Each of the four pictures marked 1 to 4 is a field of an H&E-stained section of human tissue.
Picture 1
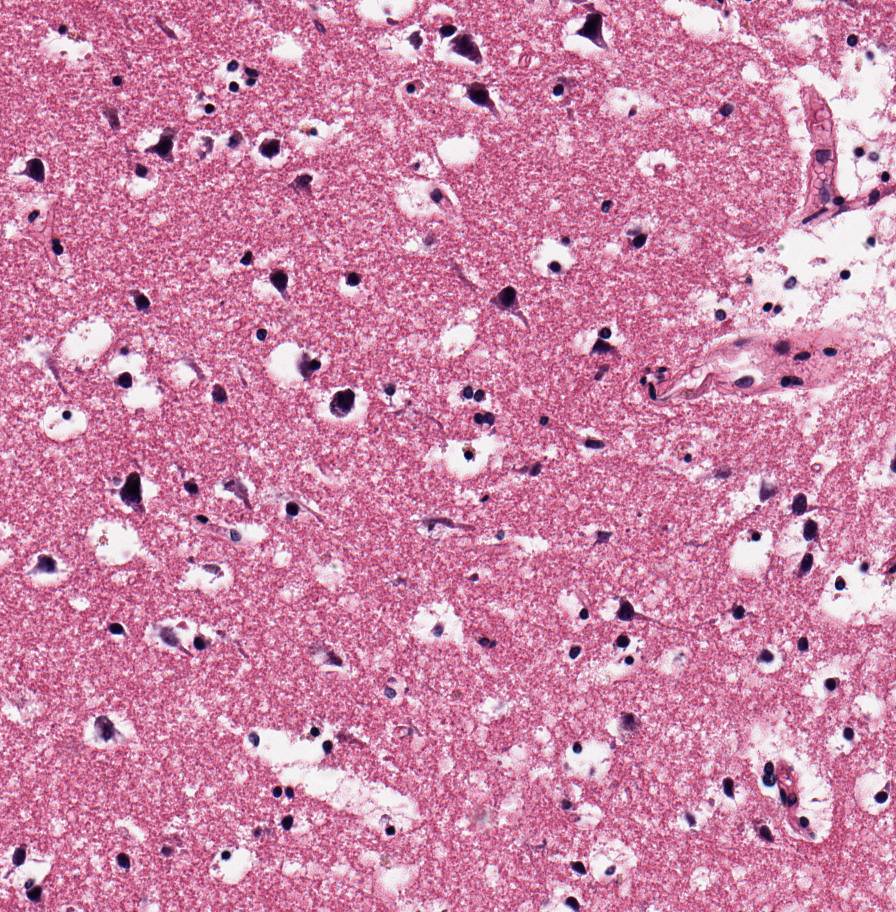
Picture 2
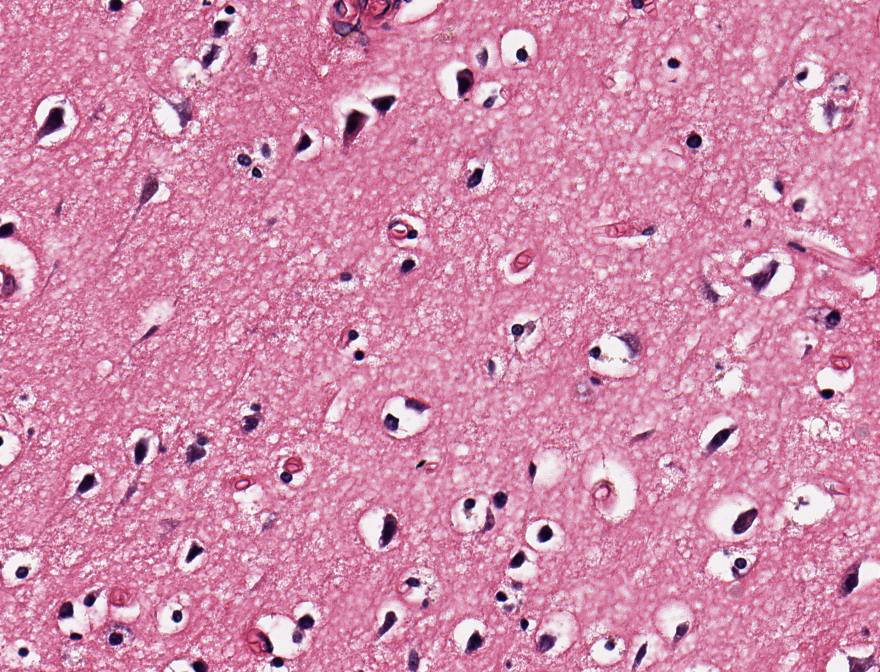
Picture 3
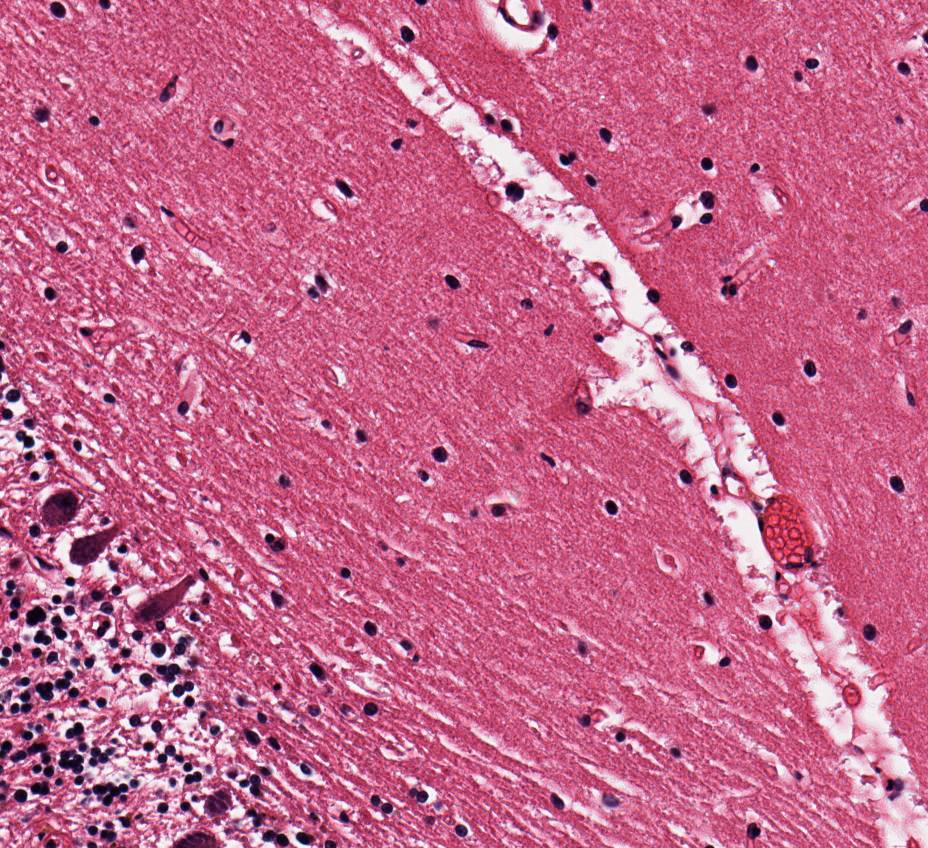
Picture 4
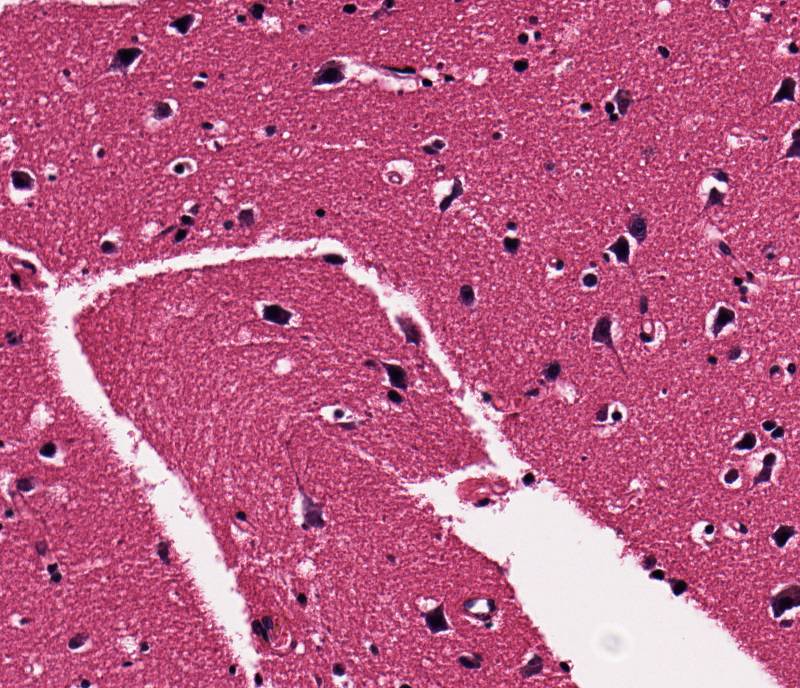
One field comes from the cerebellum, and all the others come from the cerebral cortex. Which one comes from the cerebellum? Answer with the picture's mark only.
3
